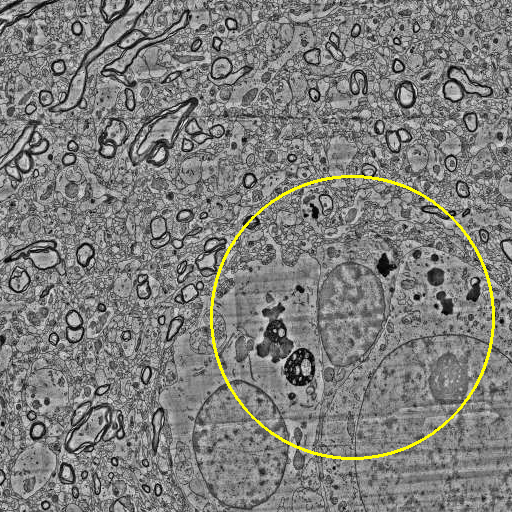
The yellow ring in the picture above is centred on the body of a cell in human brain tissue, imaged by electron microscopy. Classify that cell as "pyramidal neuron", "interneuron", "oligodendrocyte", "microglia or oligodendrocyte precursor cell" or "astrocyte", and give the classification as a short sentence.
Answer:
The cell in the middle of the ring is an oligodendrocyte.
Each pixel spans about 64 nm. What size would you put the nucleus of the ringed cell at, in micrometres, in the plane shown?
The nucleus of the ringed cell is clearly longer than it is wide in this plane, about 7 by 4 micrometres.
